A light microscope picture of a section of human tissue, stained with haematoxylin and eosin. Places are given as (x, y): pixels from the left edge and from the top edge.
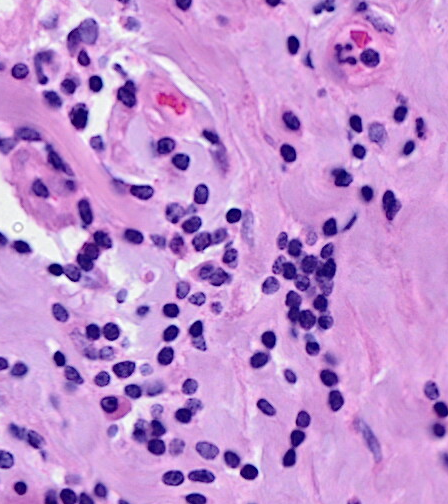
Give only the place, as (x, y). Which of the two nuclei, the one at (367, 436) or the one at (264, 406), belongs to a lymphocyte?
(264, 406)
